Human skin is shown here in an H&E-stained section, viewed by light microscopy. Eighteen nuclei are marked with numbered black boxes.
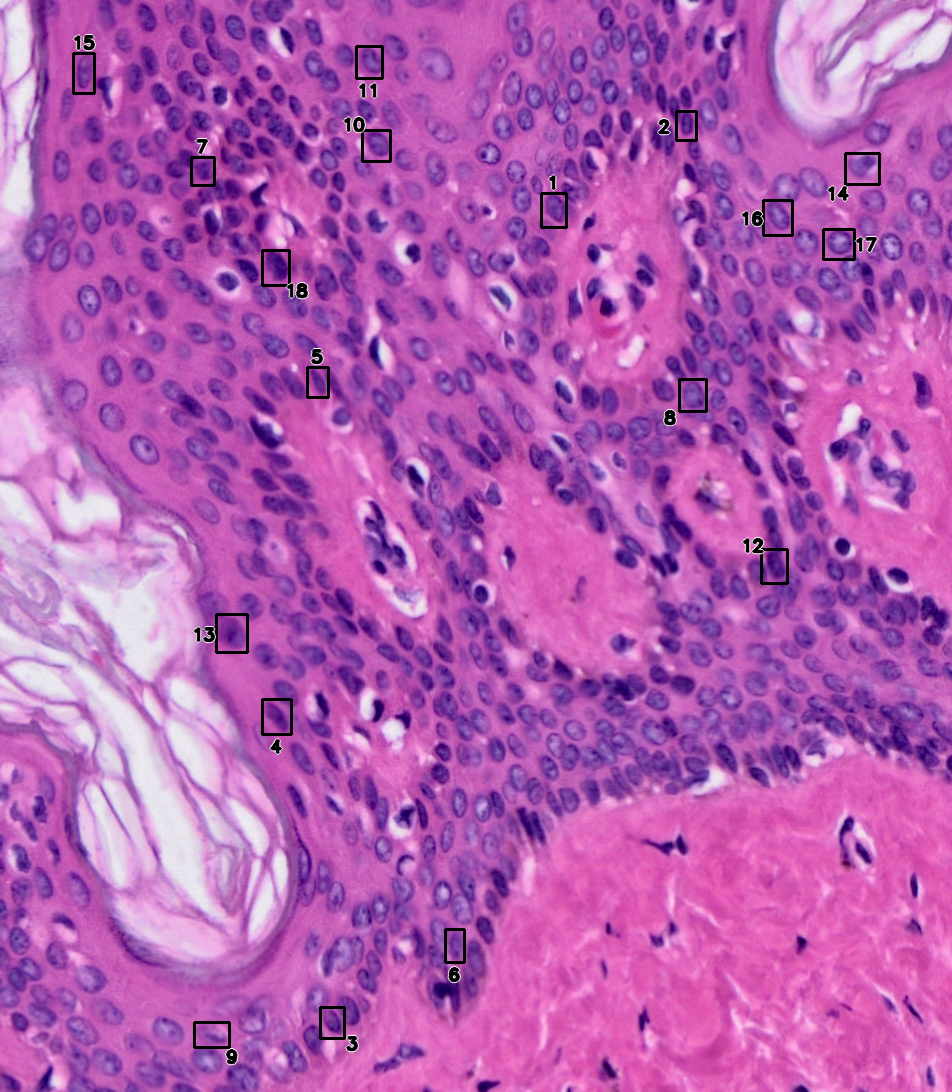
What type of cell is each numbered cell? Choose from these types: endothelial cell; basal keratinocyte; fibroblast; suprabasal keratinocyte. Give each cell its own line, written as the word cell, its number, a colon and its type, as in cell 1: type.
cell 1: basal keratinocyte
cell 2: basal keratinocyte
cell 3: basal keratinocyte
cell 4: suprabasal keratinocyte
cell 5: basal keratinocyte
cell 6: basal keratinocyte
cell 7: basal keratinocyte
cell 8: basal keratinocyte
cell 9: suprabasal keratinocyte
cell 10: suprabasal keratinocyte
cell 11: suprabasal keratinocyte
cell 12: basal keratinocyte
cell 13: suprabasal keratinocyte
cell 14: suprabasal keratinocyte
cell 15: suprabasal keratinocyte
cell 16: suprabasal keratinocyte
cell 17: suprabasal keratinocyte
cell 18: basal keratinocyte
